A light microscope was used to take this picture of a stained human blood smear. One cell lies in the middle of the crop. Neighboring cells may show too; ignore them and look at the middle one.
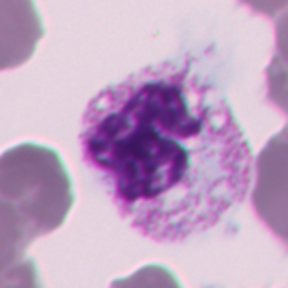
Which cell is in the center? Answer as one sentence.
The central cell shown in this smear crop is a segmented neutrophil.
